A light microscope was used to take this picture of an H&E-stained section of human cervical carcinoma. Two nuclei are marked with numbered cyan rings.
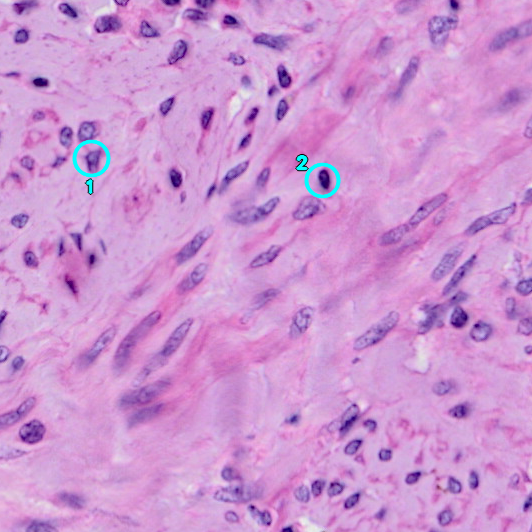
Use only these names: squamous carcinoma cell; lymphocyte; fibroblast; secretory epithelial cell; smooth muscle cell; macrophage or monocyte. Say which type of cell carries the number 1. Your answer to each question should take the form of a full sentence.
Classified as a smooth muscle cell is the cell with the number 1.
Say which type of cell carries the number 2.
Regarding cell 2, this one is a lymphocyte.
